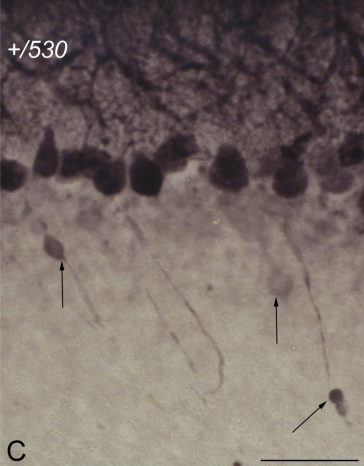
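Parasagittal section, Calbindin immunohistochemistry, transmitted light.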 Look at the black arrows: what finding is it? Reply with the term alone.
Axonal torpedoes.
